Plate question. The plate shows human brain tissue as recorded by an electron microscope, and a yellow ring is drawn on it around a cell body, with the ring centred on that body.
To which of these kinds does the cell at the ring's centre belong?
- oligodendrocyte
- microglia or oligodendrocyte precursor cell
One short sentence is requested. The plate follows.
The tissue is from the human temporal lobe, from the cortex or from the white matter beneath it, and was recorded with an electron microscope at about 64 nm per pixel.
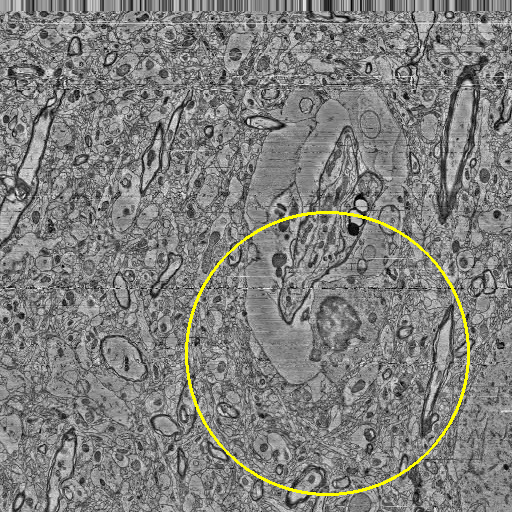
The cell at the ring's centre is an oligodendrocyte.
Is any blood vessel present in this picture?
Yes, one shows.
